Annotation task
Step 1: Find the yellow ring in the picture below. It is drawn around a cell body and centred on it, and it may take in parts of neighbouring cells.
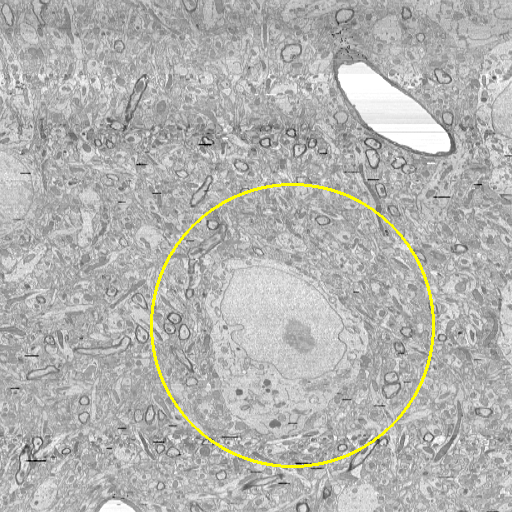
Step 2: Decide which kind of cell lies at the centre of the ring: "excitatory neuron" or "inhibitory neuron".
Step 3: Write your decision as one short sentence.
The kind of cell at the ring's centre is an excitatory neuron.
